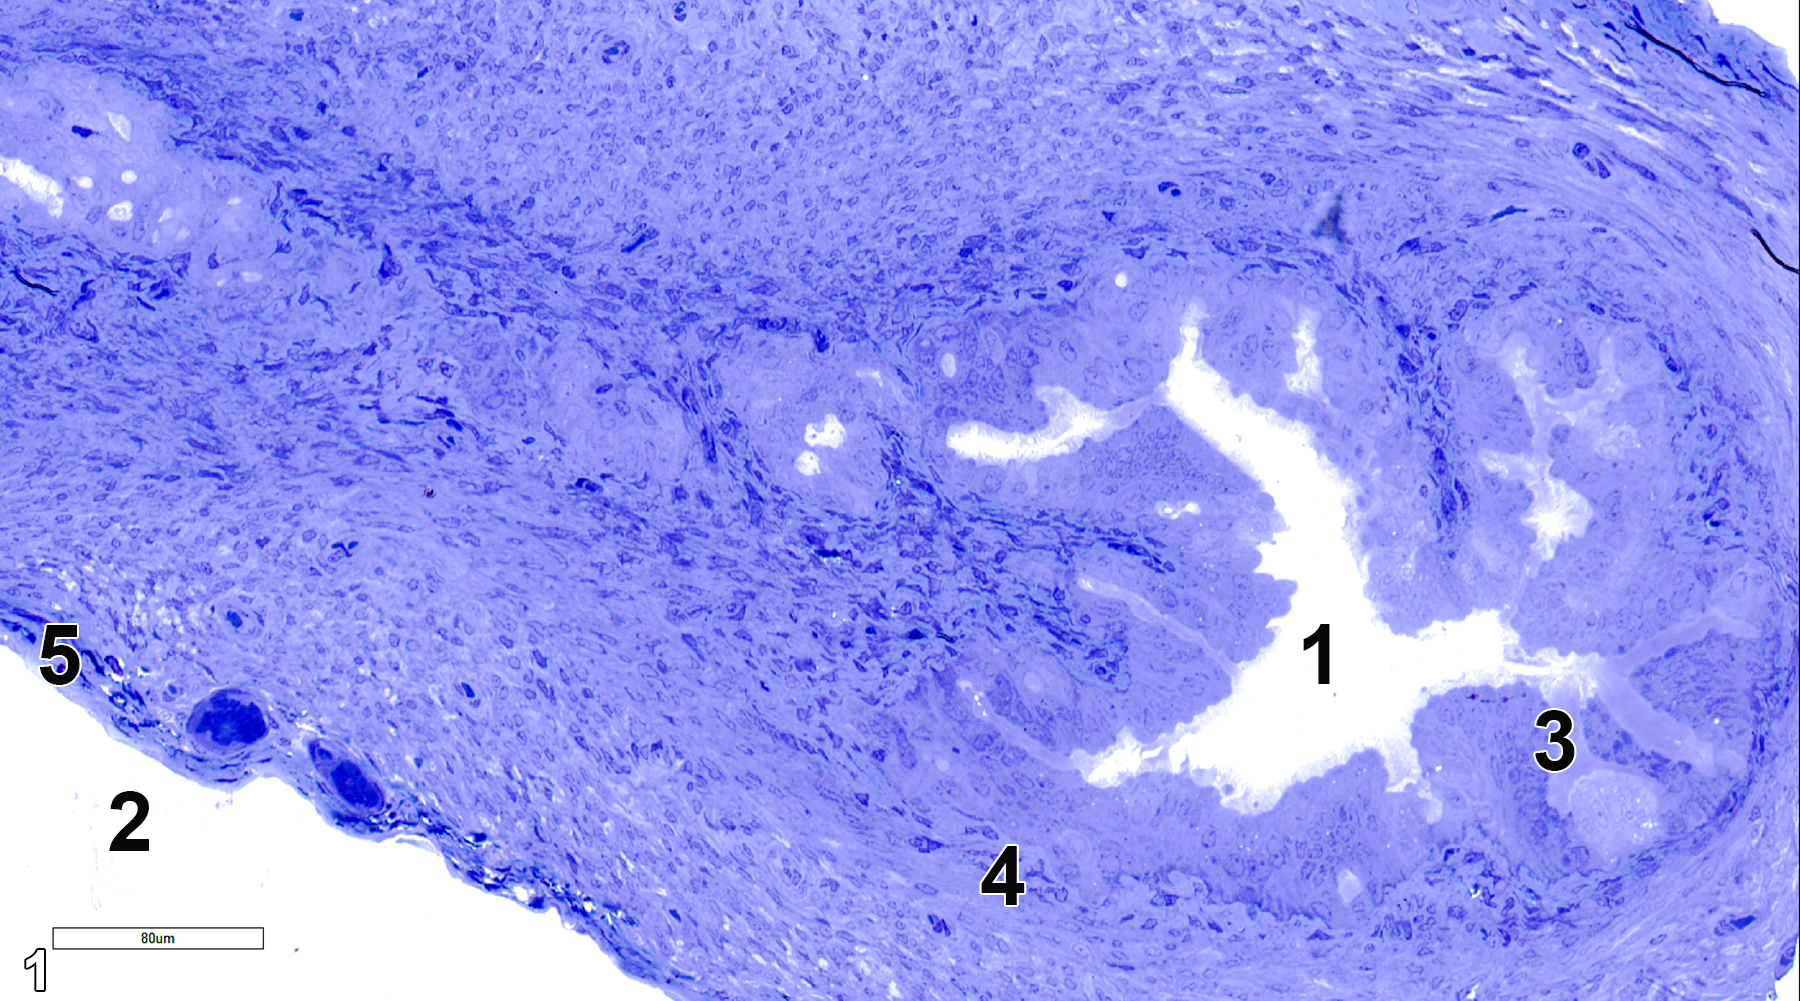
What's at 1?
The number 1 marks the oviduct lumen.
